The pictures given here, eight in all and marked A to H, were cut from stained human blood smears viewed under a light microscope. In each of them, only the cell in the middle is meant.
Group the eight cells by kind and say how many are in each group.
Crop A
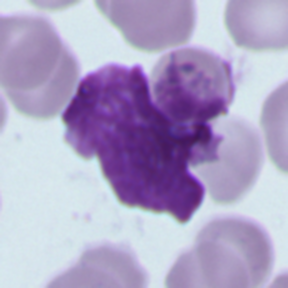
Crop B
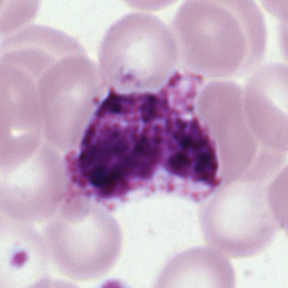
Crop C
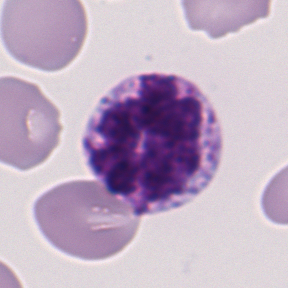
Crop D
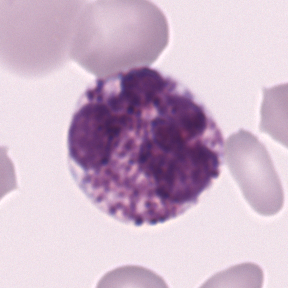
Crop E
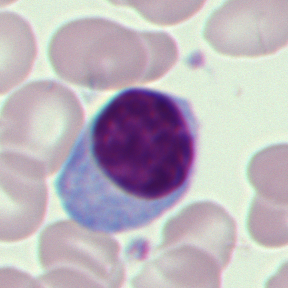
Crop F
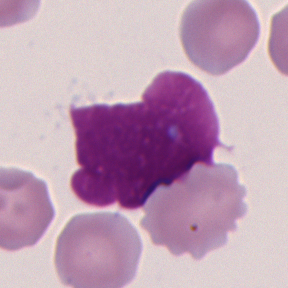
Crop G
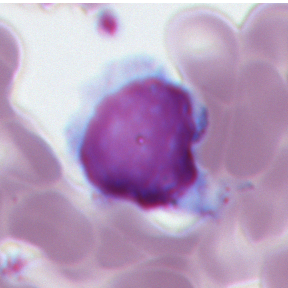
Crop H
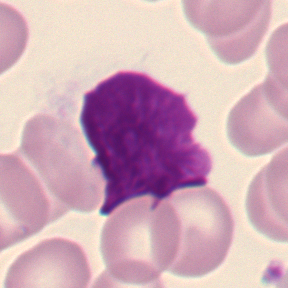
smudge cell: 3
basophil: 3
typical lymphocyte: 2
